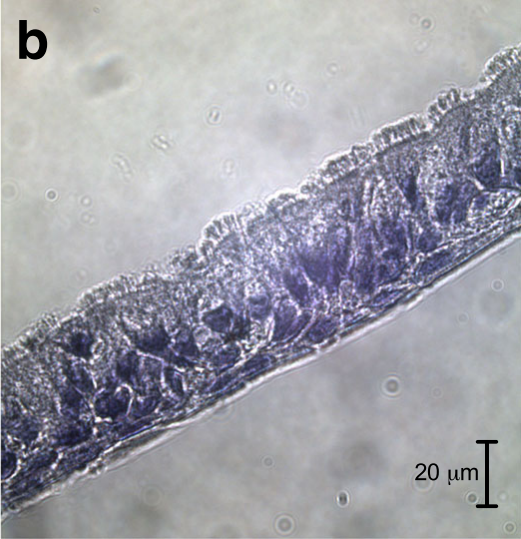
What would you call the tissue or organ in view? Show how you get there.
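Airway epithelial cell cultures. A continuous multilayered sheet of cells rests on a thin smooth straight base. Columnar cells reach from the base toward a free upper surface. A fringe of fine projections lines the free apical surface.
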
